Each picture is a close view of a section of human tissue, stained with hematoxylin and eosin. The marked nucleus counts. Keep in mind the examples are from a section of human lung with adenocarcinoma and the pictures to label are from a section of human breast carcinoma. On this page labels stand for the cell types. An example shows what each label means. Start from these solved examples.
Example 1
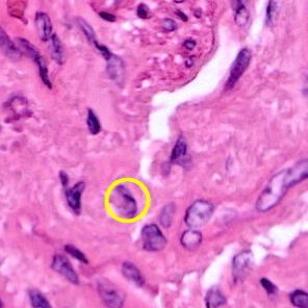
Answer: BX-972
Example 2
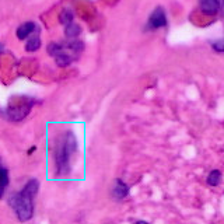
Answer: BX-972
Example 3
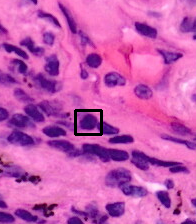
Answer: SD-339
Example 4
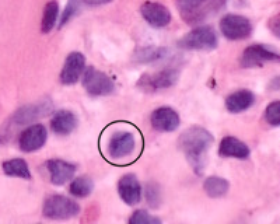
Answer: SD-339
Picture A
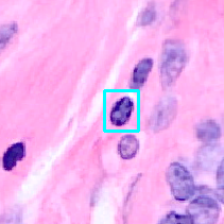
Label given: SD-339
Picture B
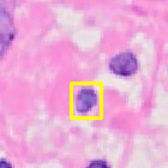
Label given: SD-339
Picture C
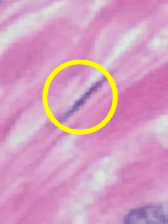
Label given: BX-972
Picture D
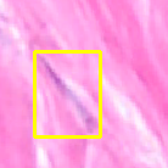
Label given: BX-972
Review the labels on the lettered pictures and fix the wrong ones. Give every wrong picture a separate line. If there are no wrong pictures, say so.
All labels are correct.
